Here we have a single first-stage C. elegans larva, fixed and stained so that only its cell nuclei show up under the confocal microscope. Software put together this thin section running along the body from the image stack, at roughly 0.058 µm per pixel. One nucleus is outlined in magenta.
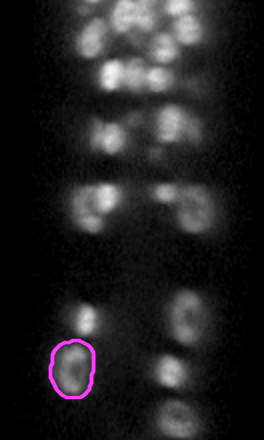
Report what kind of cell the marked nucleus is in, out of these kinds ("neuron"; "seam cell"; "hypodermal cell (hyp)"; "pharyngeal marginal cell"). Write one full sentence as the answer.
This nucleus is from a seam cell.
